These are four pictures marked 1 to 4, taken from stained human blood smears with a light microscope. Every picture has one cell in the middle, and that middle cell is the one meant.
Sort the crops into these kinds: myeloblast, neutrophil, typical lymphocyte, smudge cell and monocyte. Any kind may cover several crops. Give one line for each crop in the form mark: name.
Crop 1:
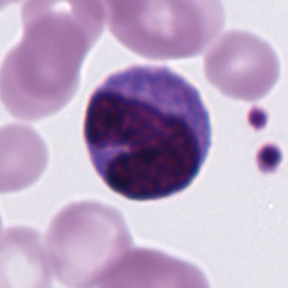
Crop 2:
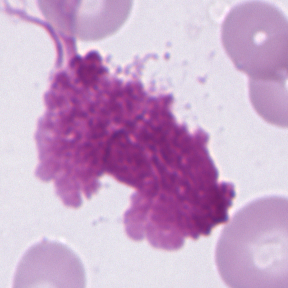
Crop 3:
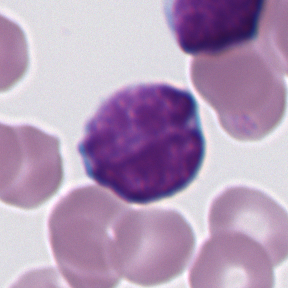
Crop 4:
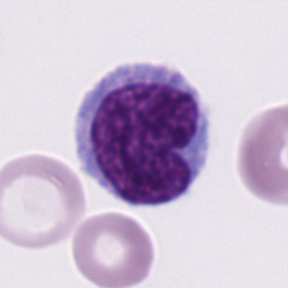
1: monocyte
2: smudge cell
3: typical lymphocyte
4: monocyte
